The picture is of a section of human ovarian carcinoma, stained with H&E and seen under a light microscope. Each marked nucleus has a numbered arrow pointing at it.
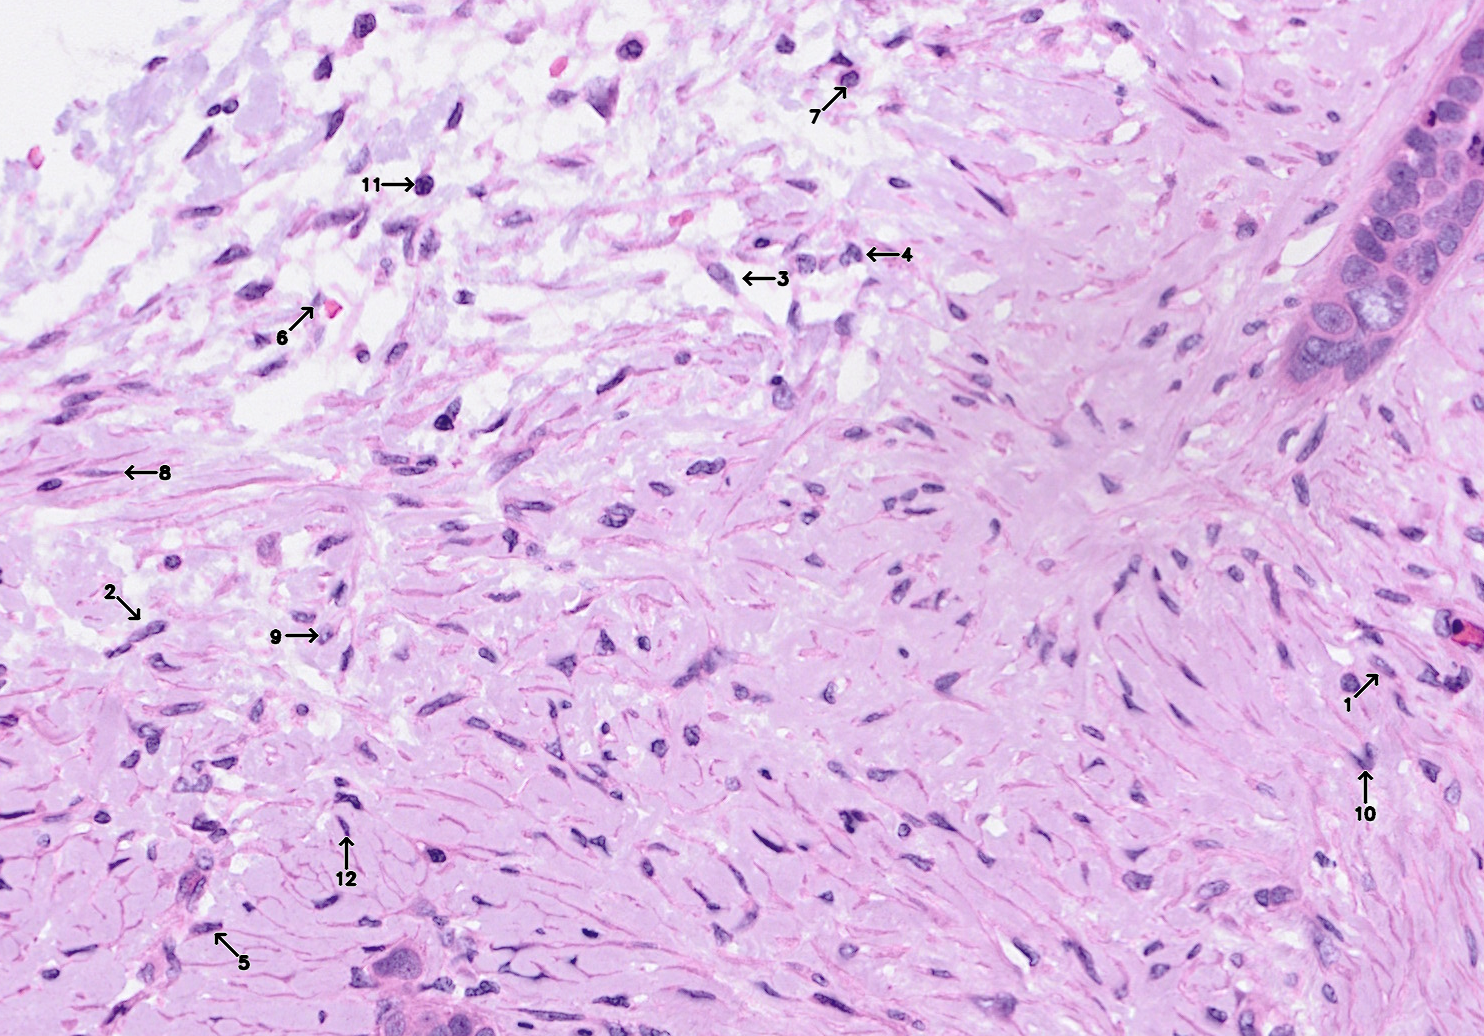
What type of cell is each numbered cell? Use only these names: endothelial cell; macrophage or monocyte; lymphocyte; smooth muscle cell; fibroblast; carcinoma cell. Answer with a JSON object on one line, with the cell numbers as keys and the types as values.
{"1": "fibroblast", "2": "fibroblast", "3": "endothelial cell", "4": "macrophage or monocyte", "5": "fibroblast", "6": "endothelial cell", "7": "macrophage or monocyte", "8": "fibroblast", "9": "fibroblast", "10": "fibroblast", "11": "lymphocyte", "12": "fibroblast"}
